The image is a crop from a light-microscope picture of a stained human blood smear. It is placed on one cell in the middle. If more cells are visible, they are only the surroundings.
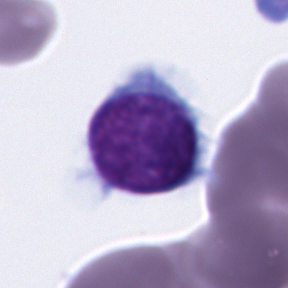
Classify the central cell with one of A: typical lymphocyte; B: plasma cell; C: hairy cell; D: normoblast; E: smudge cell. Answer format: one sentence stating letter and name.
Here the central cell is a hairy cell, and option C is correct.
